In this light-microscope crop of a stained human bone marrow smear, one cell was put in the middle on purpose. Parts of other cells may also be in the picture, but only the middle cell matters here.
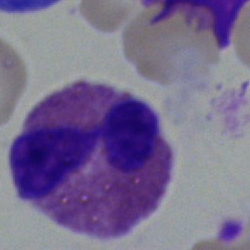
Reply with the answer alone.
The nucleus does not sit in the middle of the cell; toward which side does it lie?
upper left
